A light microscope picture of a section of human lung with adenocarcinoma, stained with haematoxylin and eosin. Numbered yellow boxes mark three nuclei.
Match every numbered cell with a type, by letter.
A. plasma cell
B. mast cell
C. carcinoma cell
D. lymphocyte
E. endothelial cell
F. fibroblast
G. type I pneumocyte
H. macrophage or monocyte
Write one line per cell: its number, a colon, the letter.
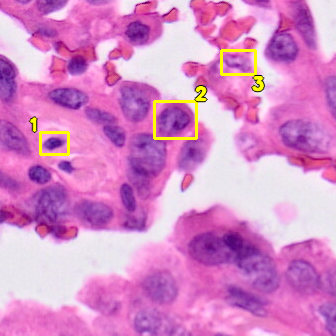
1: D
2: C
3: H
